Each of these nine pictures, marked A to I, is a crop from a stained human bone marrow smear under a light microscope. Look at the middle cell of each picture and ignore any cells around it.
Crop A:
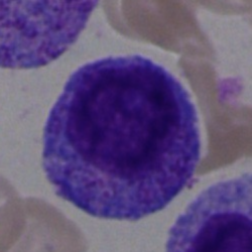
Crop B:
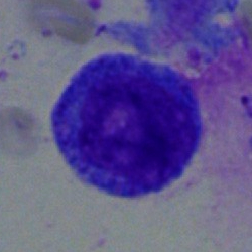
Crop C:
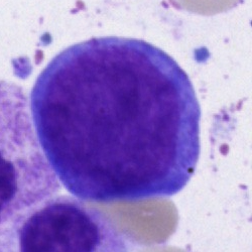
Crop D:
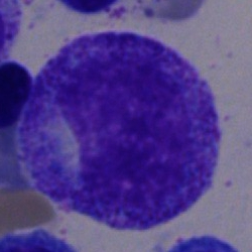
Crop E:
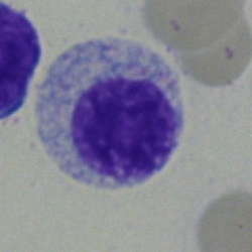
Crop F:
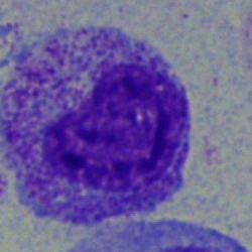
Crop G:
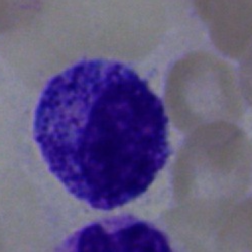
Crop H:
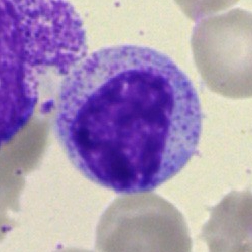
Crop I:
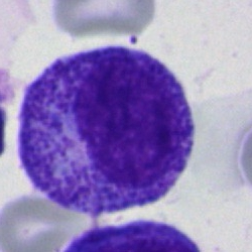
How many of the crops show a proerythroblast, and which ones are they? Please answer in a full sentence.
Crop C is the sole crop in the set that contains a proerythroblast.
